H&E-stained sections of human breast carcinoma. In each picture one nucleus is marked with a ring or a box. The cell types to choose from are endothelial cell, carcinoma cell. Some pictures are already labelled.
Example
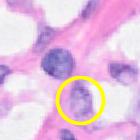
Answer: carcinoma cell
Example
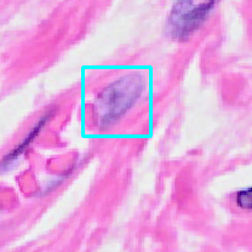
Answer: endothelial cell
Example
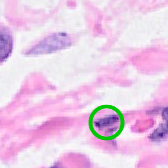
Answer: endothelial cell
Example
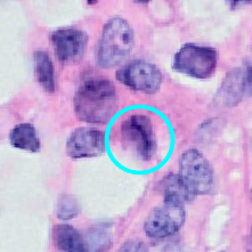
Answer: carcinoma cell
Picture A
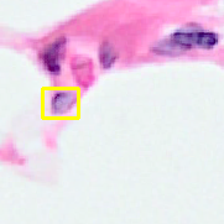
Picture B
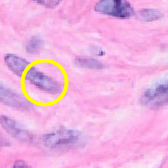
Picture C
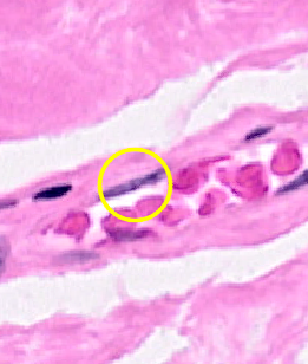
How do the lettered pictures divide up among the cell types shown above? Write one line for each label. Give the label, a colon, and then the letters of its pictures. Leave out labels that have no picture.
endothelial cell: A, B, C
